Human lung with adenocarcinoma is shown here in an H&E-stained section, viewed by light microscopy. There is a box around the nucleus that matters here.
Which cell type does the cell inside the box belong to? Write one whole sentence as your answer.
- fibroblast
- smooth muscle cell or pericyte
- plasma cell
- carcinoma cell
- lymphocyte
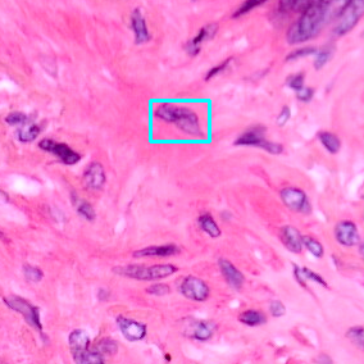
The cell meant here is a smooth muscle cell or pericyte.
